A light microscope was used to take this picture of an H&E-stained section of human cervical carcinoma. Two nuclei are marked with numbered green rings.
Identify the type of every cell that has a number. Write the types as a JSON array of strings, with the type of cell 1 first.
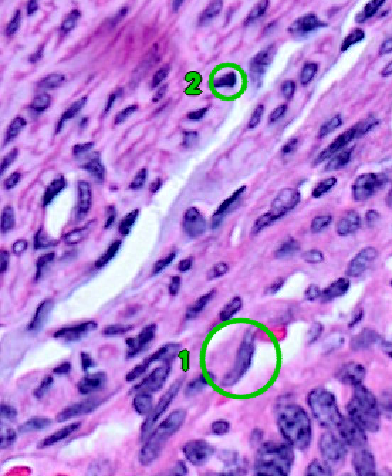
["endothelial cell", "lymphocyte"]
